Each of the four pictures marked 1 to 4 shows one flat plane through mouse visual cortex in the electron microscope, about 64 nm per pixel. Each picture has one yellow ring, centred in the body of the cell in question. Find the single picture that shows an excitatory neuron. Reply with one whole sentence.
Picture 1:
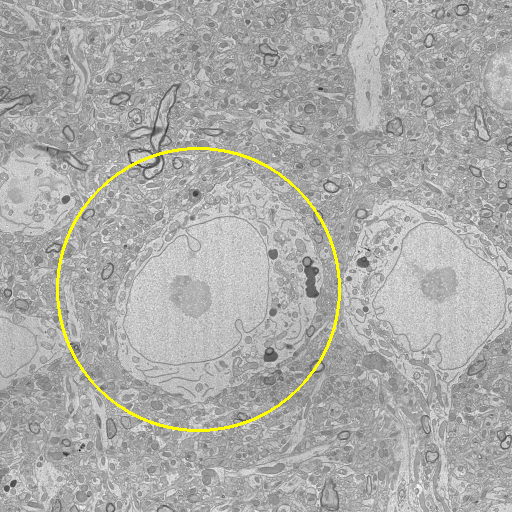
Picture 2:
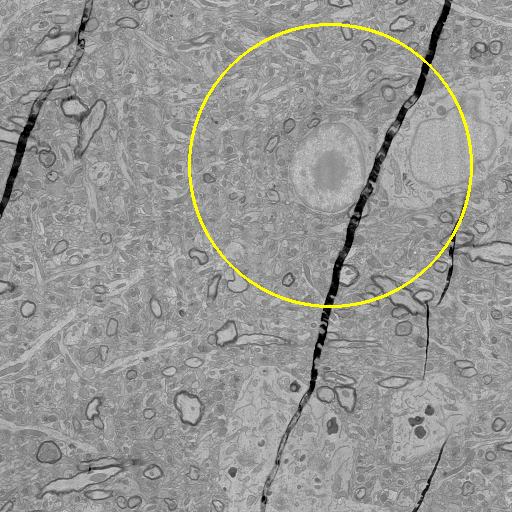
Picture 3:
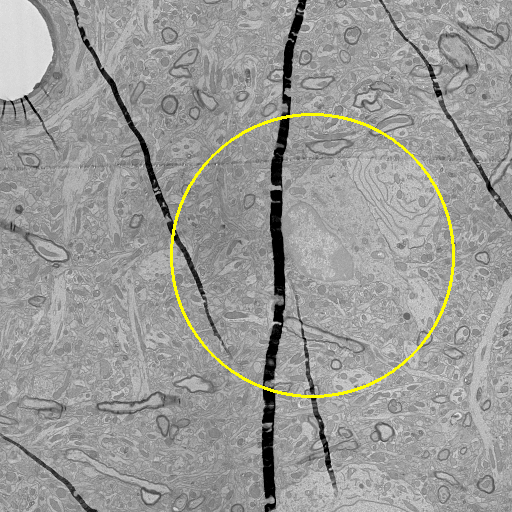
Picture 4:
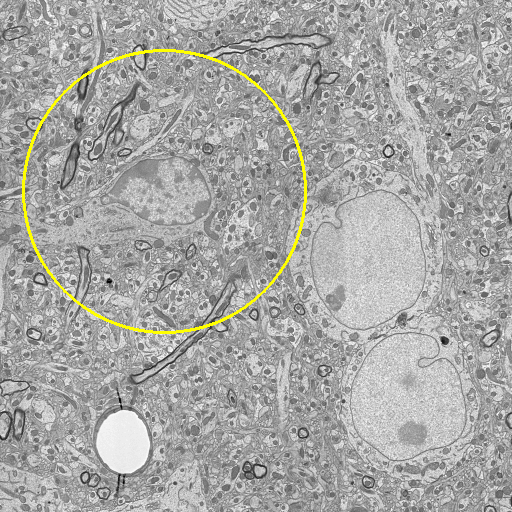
It is picture 1 that shows the excitatory neuron.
